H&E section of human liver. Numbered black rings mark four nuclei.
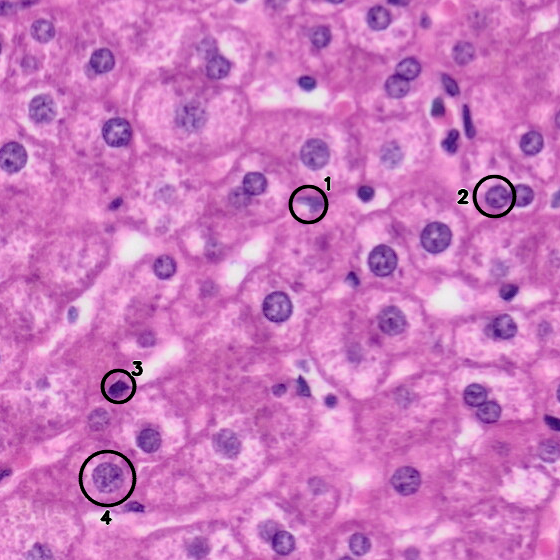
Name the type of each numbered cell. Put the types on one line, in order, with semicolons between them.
endothelial cell; hepatocyte; fibroblast or stellate cell; hepatocyte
